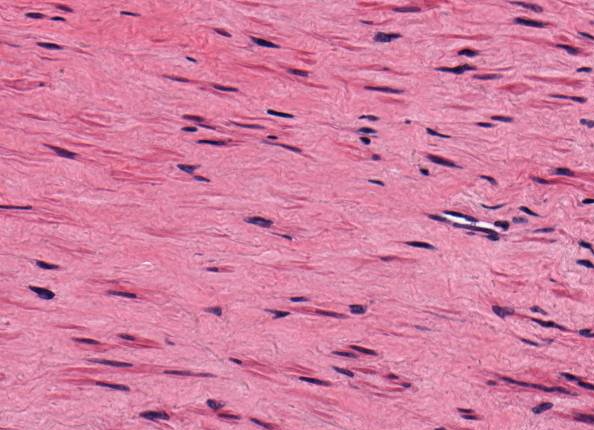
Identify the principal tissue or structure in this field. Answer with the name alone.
tunica media of an artery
